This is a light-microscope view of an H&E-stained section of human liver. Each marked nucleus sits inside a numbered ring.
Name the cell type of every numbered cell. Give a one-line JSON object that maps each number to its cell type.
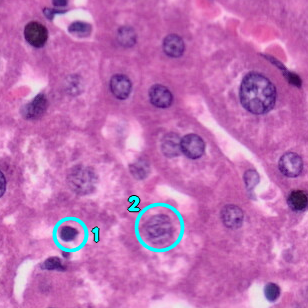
{"1": "lymphocyte", "2": "hepatocyte"}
